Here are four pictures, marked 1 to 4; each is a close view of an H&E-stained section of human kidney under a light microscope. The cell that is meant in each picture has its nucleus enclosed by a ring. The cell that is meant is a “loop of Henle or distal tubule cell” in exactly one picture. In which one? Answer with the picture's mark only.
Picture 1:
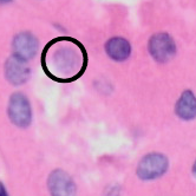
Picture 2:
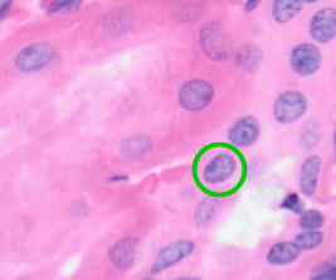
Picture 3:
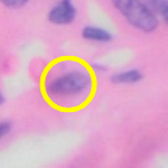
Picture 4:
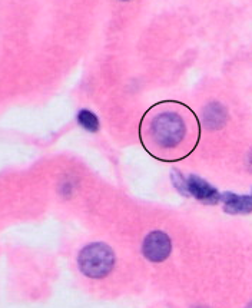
1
